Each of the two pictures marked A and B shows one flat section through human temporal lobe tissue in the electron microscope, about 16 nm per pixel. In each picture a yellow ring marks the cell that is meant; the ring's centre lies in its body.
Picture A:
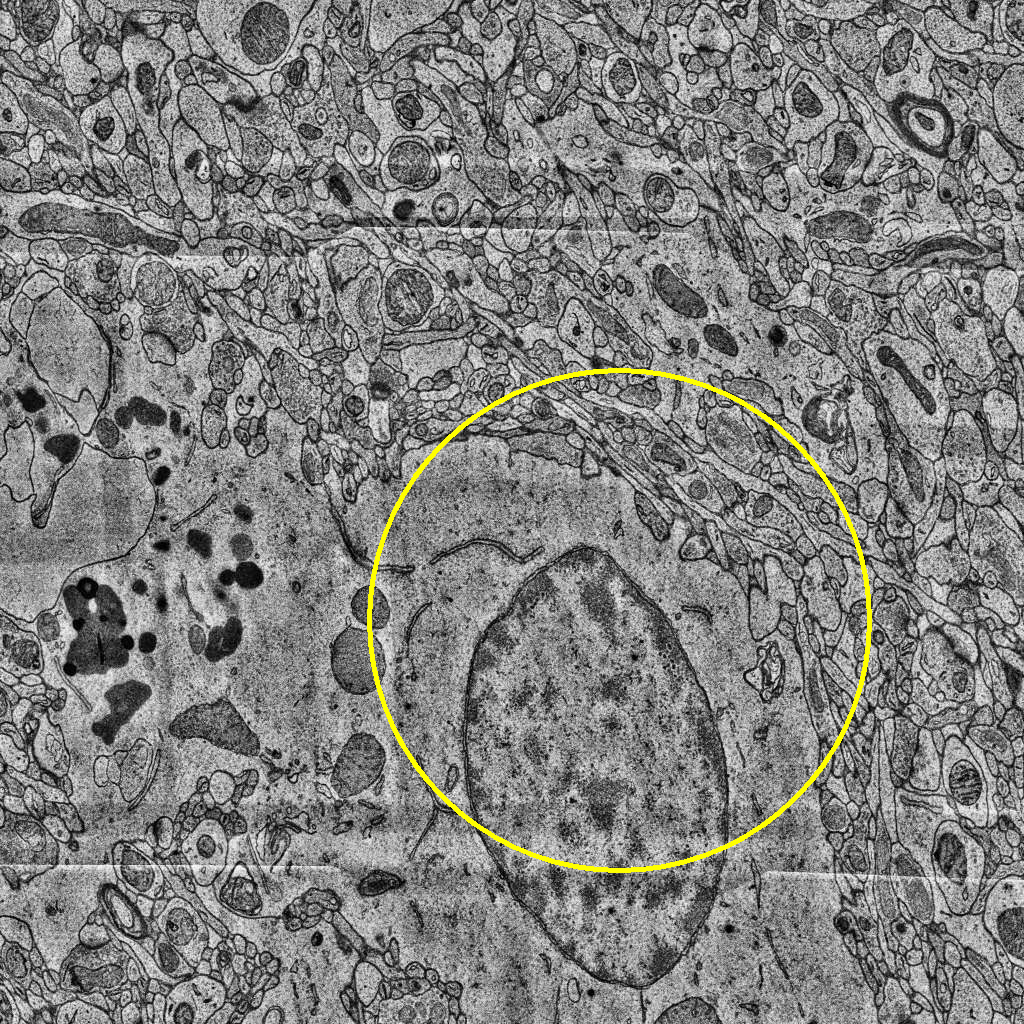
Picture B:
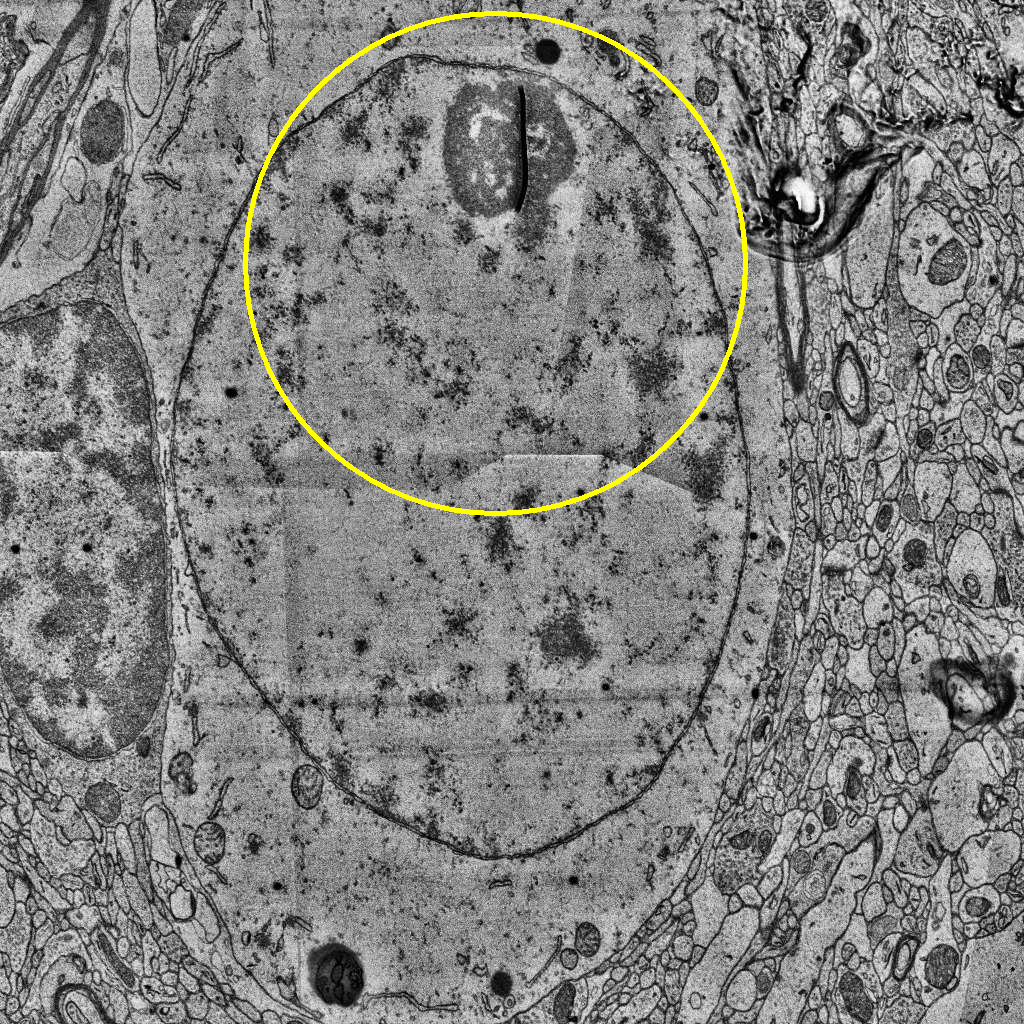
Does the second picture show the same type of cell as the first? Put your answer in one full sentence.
No, the types are not the same, since picture A shows an astrocyte and picture B a pyramidal neuron.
